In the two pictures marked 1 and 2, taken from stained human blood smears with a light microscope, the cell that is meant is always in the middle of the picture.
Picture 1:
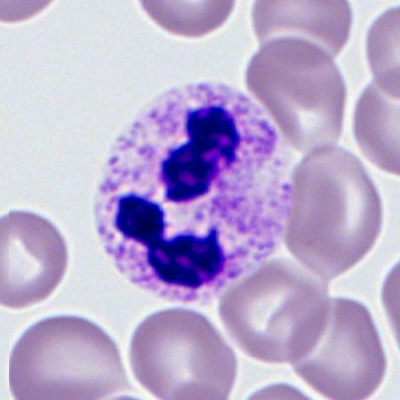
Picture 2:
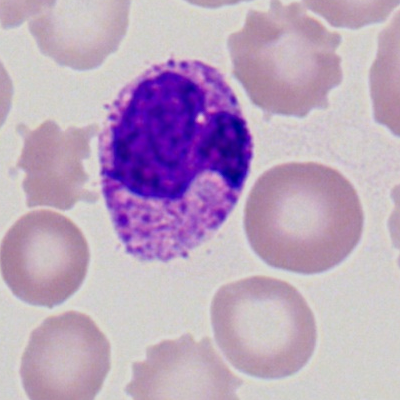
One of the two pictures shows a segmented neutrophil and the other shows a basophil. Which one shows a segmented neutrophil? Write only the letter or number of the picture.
1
